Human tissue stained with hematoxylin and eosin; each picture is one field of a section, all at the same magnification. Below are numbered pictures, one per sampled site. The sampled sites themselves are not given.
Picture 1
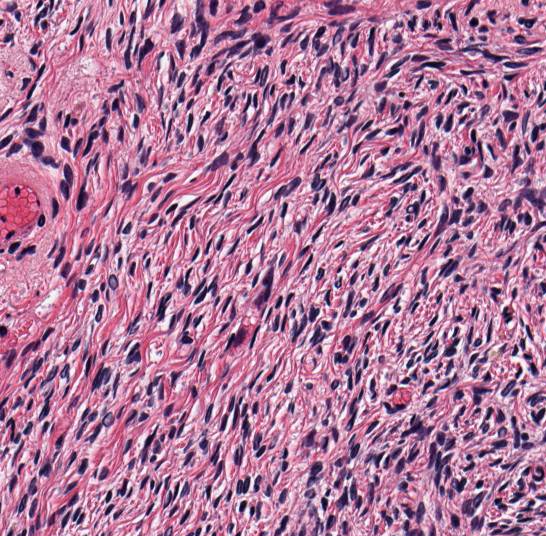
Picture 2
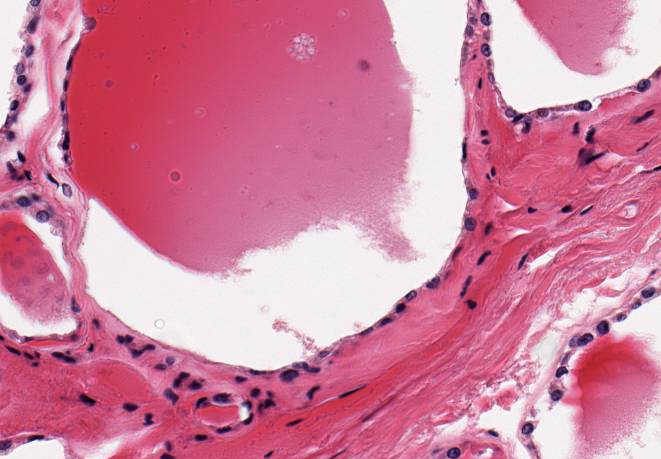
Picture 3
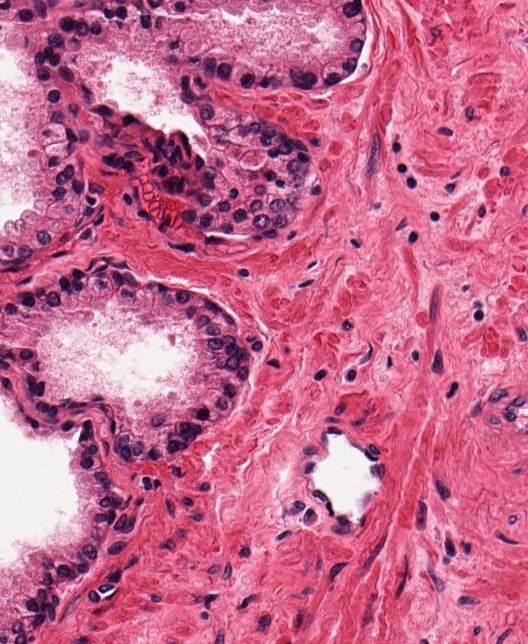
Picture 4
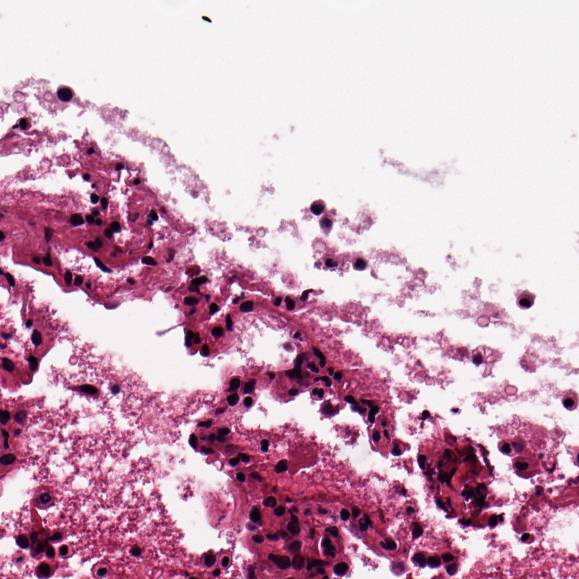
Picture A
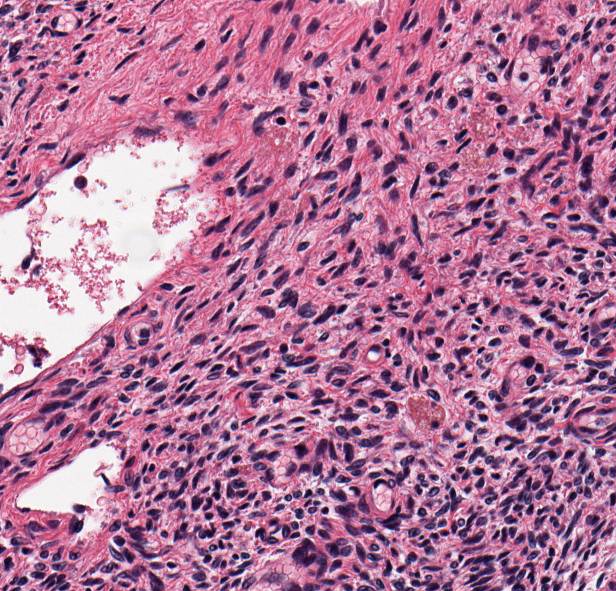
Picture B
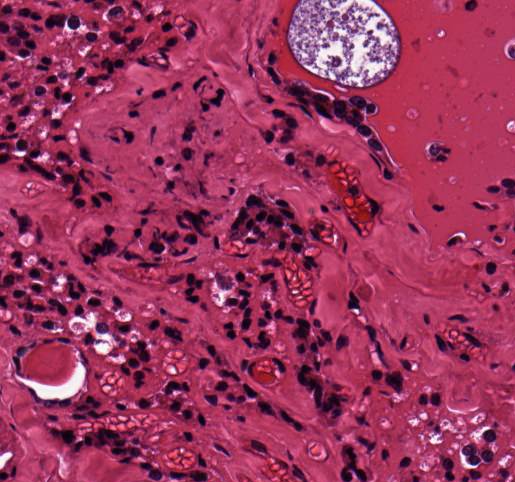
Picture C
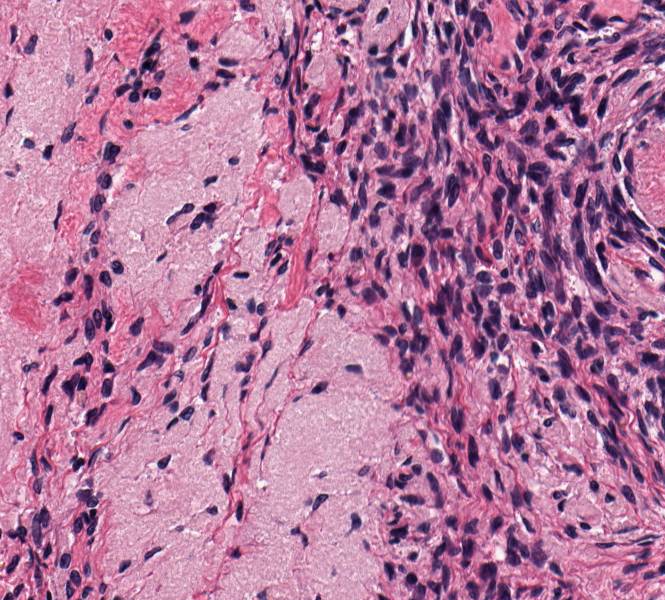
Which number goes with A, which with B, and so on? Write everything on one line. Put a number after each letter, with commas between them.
A 1, B 2, C 1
